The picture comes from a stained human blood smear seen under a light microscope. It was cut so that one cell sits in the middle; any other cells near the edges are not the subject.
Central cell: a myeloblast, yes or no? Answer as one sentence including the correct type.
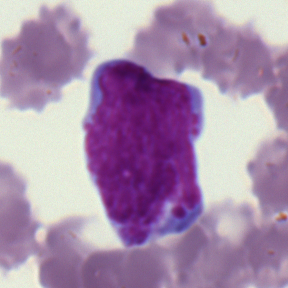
Yes, in this crop the cell in the middle is a myeloblast.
